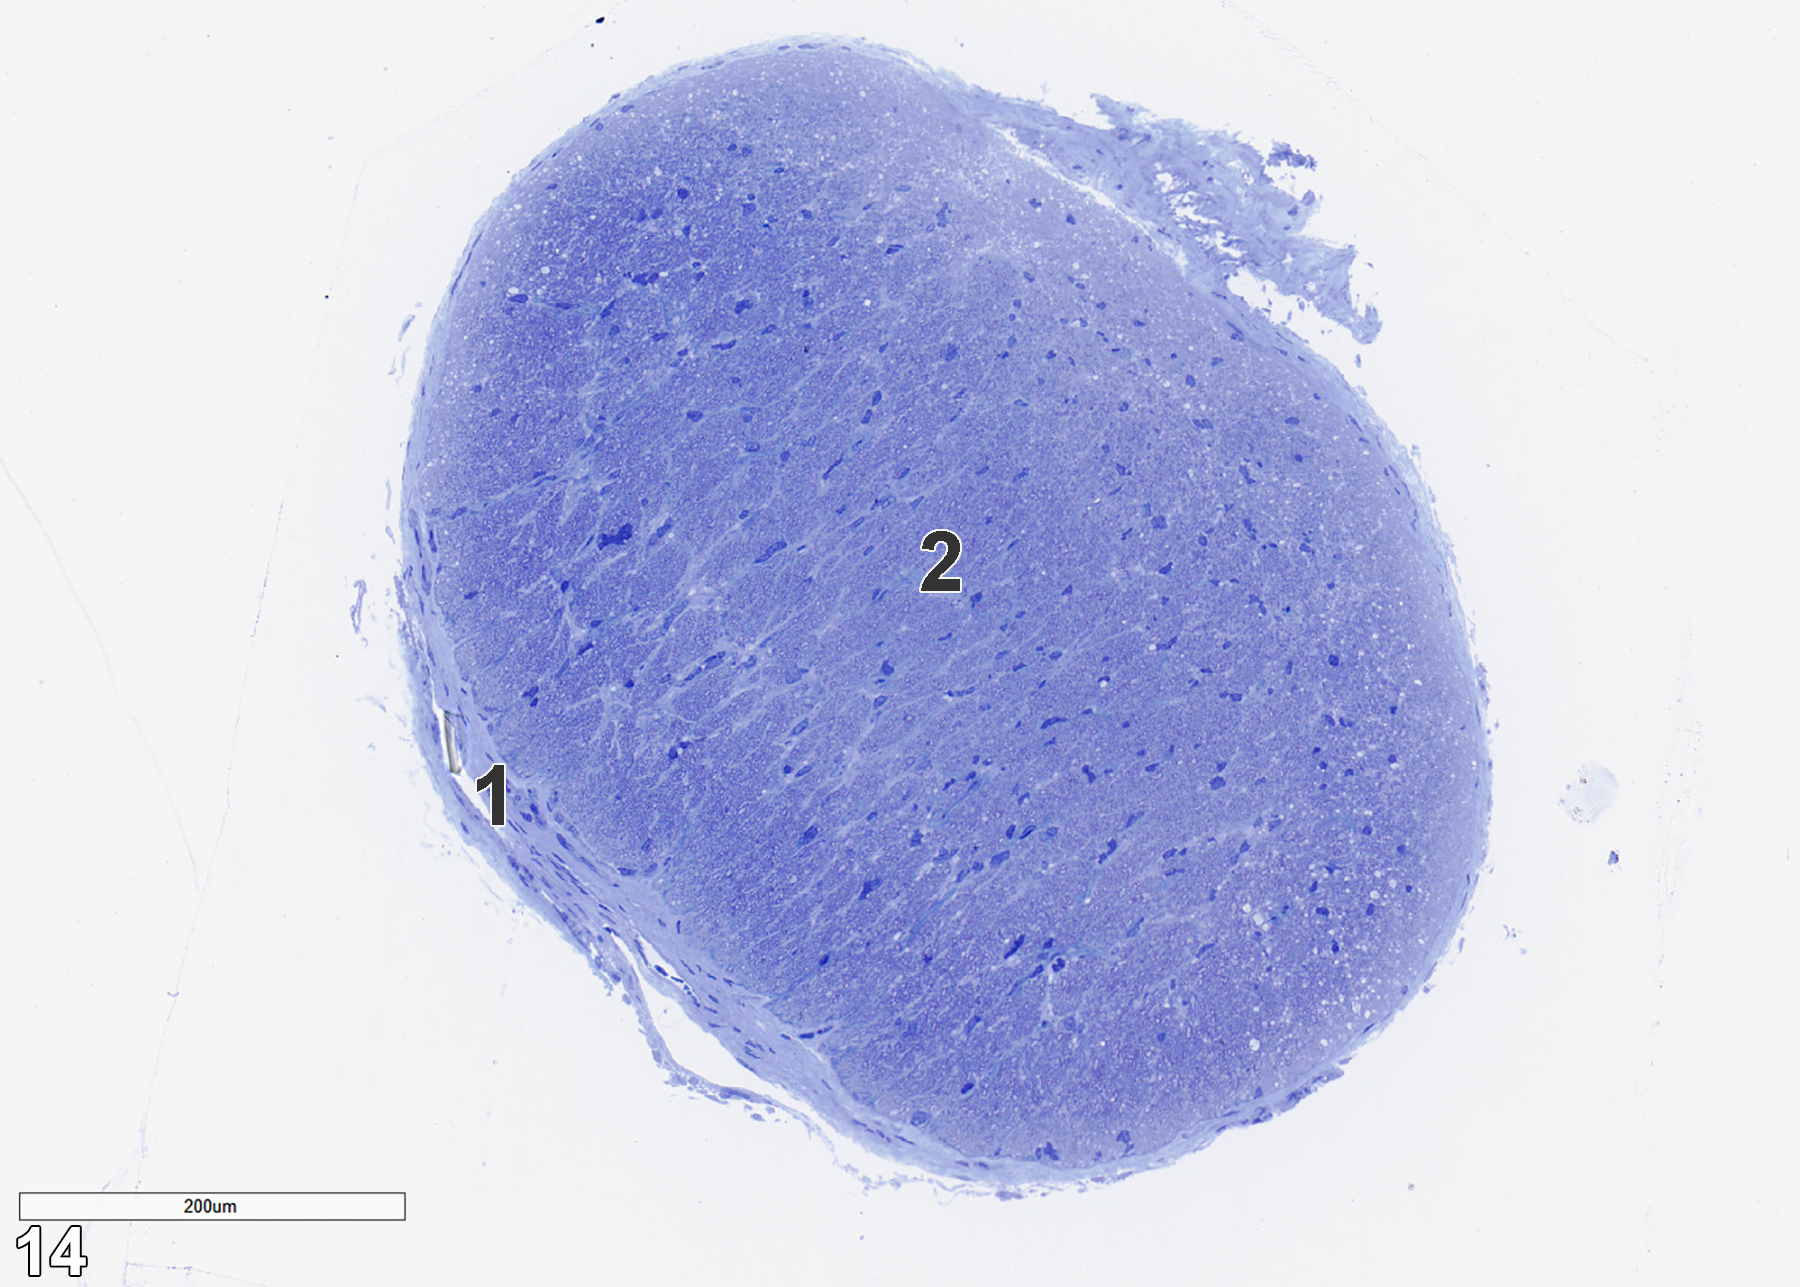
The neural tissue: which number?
2.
